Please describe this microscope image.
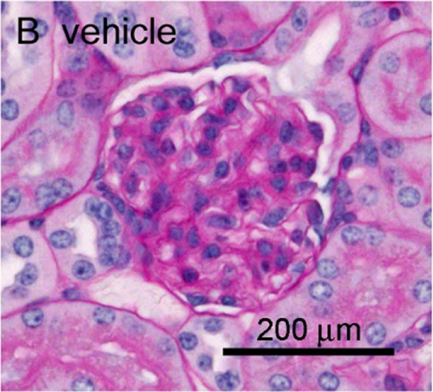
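The glomerular tuft is large and crowded with dark nuclei, and the capillary lumina within it are hard to make out. The magenta material in the tuft looks dense and fills much of the space between the nuclei. A thin crescent of clear space runs along part of the edge between the tuft and its enclosing capsule. Around it lie tubules of cuboidal cells with pink cytoplasm and round blue nuclei, outlined by thin magenta basement membranes.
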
